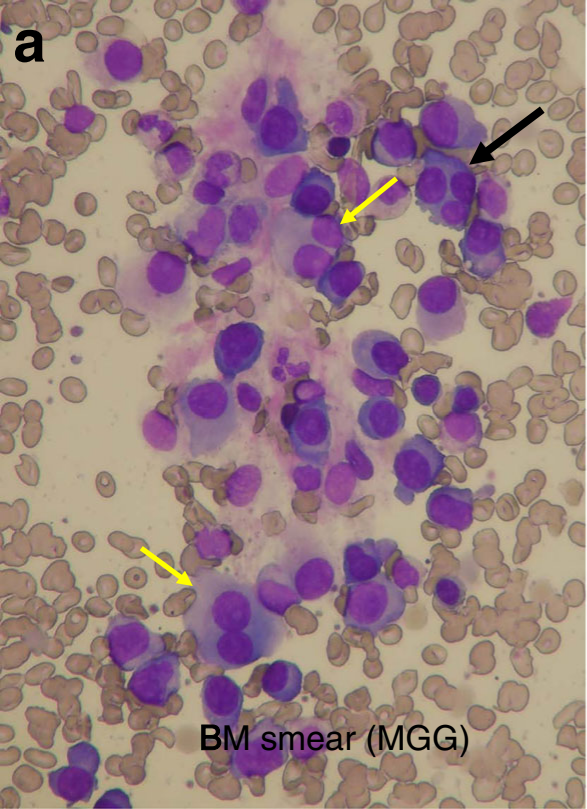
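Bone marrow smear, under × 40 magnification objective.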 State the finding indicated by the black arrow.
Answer: Trinuclear.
